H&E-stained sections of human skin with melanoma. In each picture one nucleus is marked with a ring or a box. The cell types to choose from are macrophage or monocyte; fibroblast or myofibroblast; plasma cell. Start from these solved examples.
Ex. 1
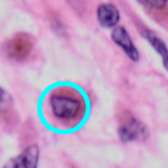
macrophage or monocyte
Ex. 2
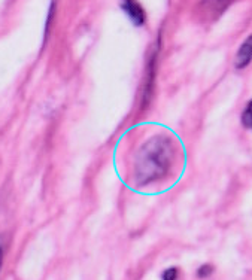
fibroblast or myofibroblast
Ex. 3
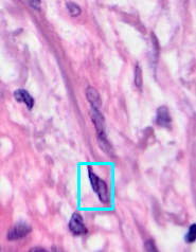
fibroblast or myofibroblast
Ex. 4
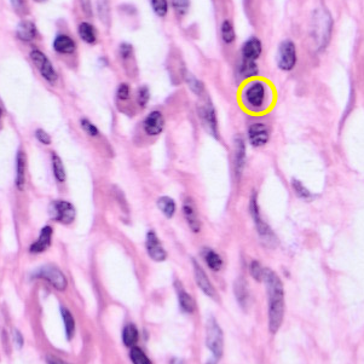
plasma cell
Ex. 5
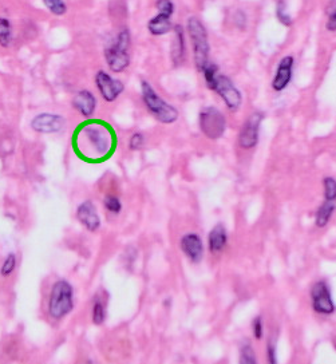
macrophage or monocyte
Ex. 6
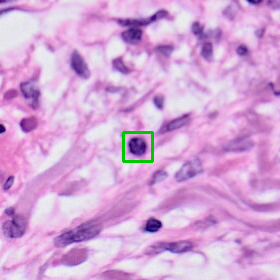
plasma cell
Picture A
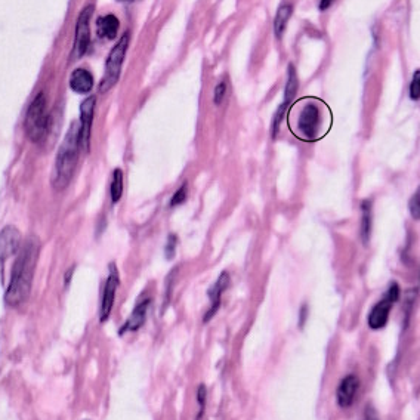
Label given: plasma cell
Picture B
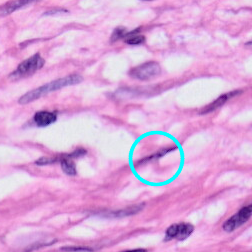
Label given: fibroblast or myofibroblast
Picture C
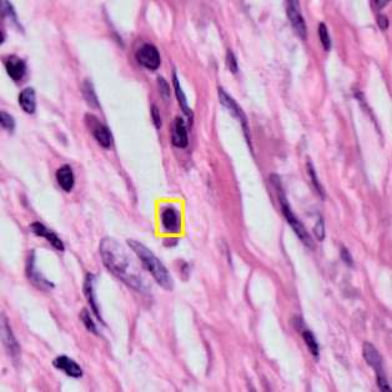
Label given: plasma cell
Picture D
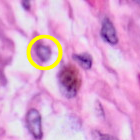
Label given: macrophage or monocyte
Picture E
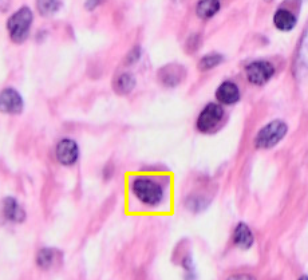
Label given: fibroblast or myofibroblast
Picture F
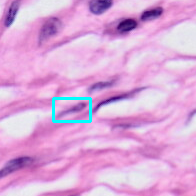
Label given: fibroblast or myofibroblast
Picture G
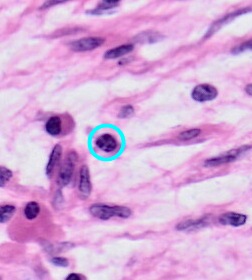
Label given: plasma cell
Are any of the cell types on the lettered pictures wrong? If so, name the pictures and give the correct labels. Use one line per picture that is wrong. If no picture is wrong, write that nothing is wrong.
E: plasma cell, not fibroblast or myofibroblast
